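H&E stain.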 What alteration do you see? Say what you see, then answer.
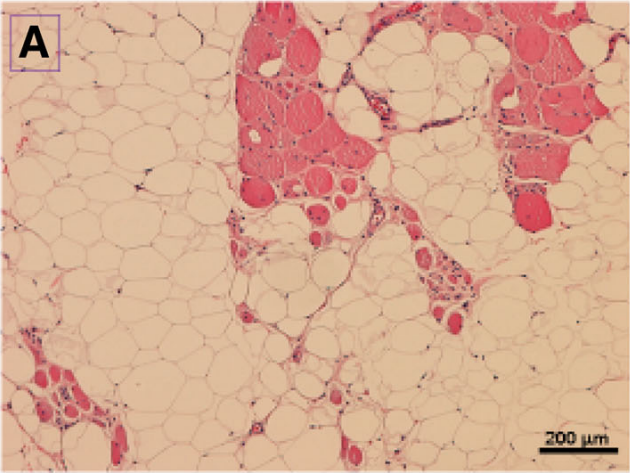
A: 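End-stage muscle. Most of the field is made of large clear polygonal cells with thin walls. Pink-staining fibres are left only in small scattered clusters.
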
